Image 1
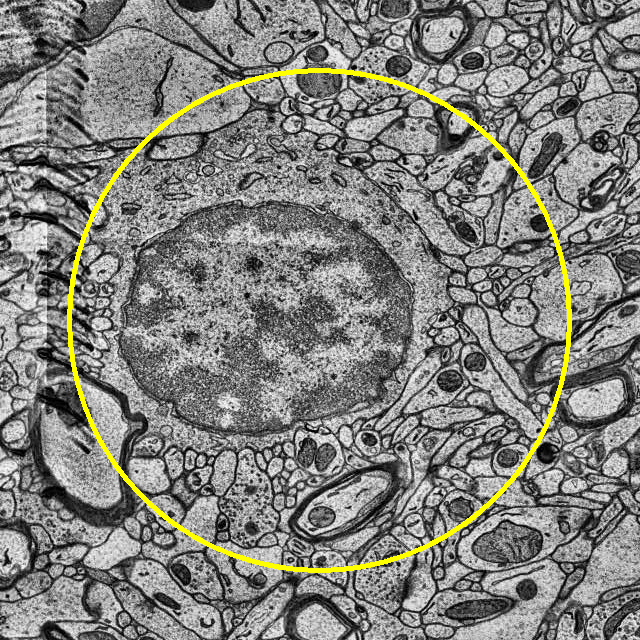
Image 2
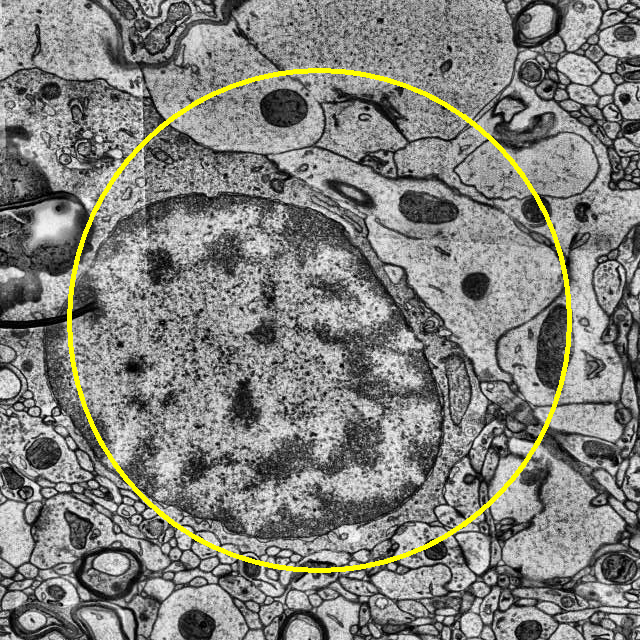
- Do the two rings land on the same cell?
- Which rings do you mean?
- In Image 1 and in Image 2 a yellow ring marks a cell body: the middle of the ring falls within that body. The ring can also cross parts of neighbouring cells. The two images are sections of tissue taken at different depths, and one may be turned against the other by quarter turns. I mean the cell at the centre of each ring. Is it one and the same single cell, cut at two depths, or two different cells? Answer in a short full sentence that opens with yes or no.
Yes, the two rings refer to one cell in the tissue.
